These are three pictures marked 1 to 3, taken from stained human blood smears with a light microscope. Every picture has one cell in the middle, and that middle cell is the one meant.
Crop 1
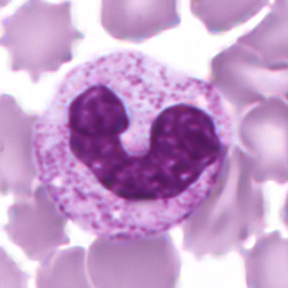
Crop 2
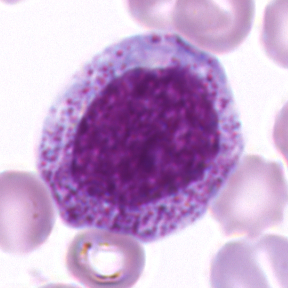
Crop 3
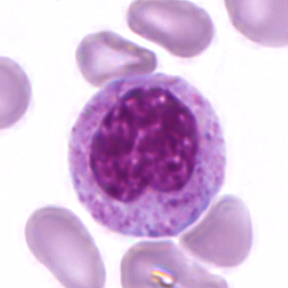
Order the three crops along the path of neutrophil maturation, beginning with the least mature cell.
2, 3, 1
